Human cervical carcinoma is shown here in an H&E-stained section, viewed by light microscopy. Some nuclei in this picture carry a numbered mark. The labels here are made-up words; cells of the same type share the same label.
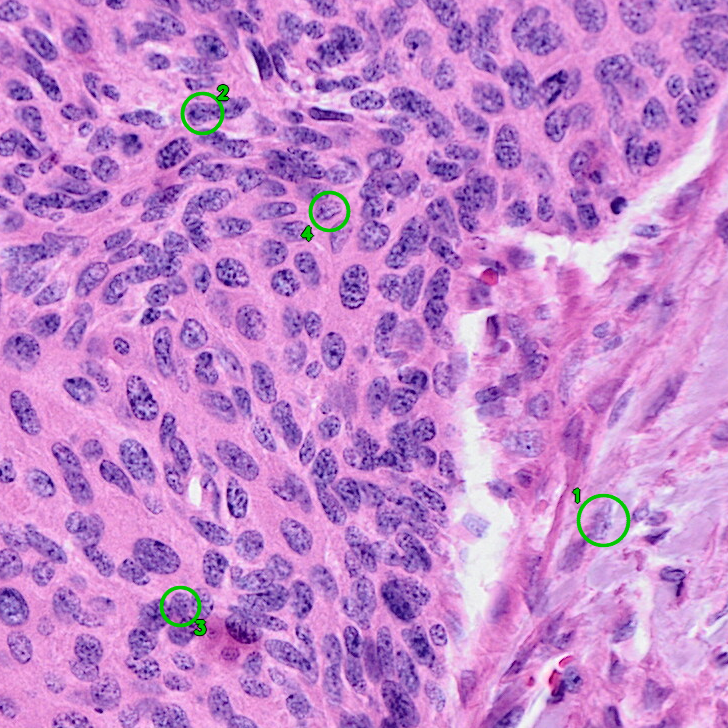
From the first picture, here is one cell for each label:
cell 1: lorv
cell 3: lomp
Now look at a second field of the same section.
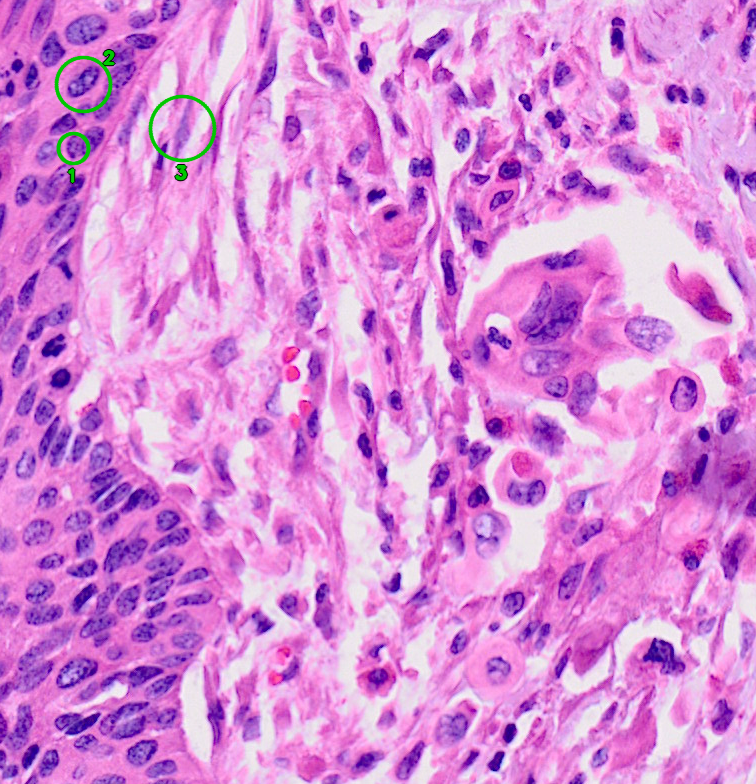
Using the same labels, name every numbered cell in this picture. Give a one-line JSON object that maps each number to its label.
{"1": "lomp", "2": "lomp", "3": "lorv"}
